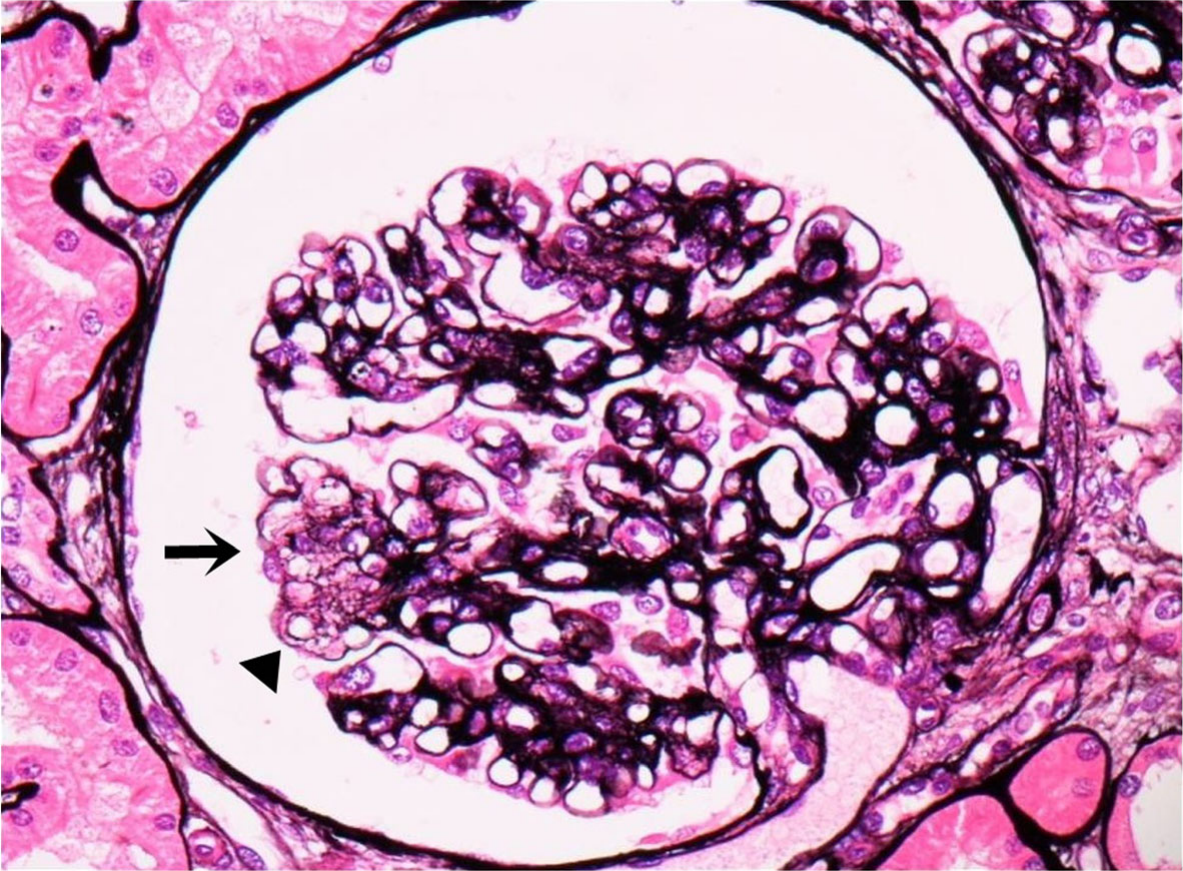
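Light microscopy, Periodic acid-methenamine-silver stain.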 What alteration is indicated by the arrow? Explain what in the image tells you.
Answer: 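At the arrow, one lobule has a loose, frothy, pale pink area. The black-stained matrix is largely missing there, unlike the other lobules. So: Mesangiolysis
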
